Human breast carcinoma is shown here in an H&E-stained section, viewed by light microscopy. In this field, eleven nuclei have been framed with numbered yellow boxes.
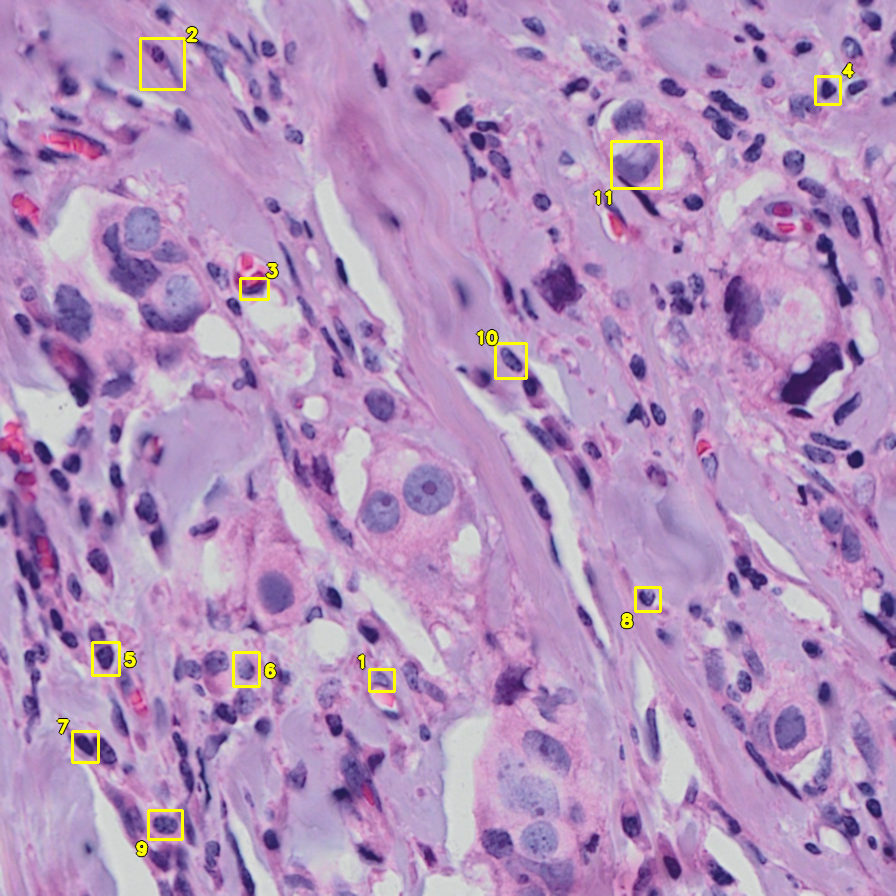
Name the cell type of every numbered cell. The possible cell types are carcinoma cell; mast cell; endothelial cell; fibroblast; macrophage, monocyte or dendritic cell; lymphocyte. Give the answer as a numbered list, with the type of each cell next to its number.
1. endothelial cell
2. fibroblast
3. endothelial cell
4. lymphocyte
5. lymphocyte
6. mast cell
7. lymphocyte
8. lymphocyte
9. mast cell
10. mast cell
11. carcinoma cell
